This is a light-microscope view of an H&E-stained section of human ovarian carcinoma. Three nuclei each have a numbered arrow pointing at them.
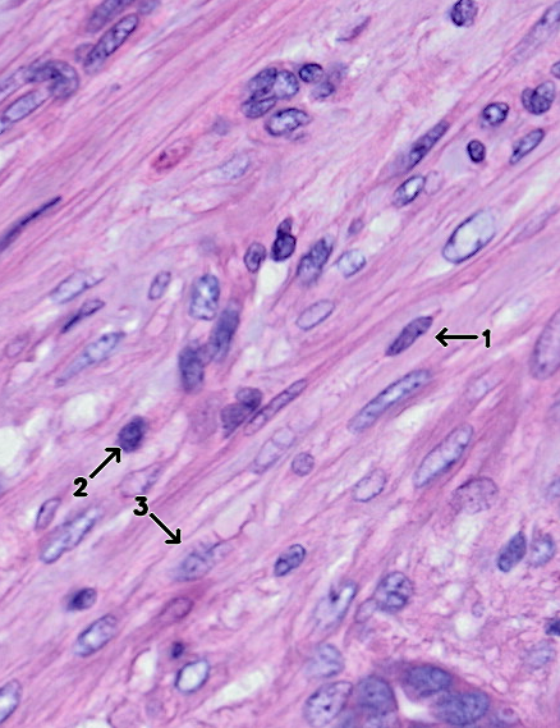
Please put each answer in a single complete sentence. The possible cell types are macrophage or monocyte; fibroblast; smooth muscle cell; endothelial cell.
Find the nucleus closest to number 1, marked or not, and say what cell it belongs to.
The nearest nucleus to number 1 belongs to a fibroblast.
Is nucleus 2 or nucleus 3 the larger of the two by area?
Nucleus 3 is larger, with an area about 1.5 times that of nucleus 2.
